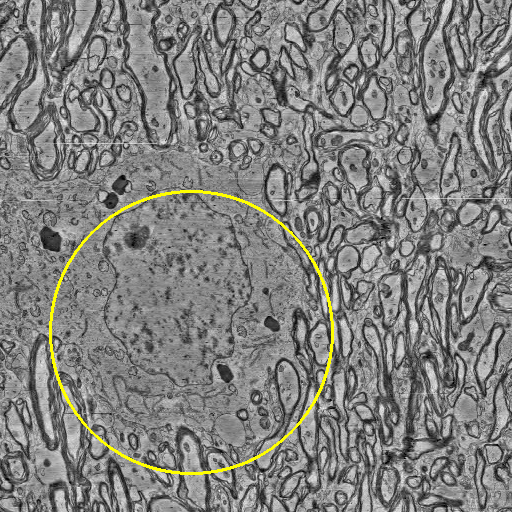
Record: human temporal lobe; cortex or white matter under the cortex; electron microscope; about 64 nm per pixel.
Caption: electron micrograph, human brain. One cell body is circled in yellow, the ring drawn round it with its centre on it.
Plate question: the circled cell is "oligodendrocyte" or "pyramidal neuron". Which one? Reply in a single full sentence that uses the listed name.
The yellow ring on the plate is centred on a pyramidal neuron, going by the listed names.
